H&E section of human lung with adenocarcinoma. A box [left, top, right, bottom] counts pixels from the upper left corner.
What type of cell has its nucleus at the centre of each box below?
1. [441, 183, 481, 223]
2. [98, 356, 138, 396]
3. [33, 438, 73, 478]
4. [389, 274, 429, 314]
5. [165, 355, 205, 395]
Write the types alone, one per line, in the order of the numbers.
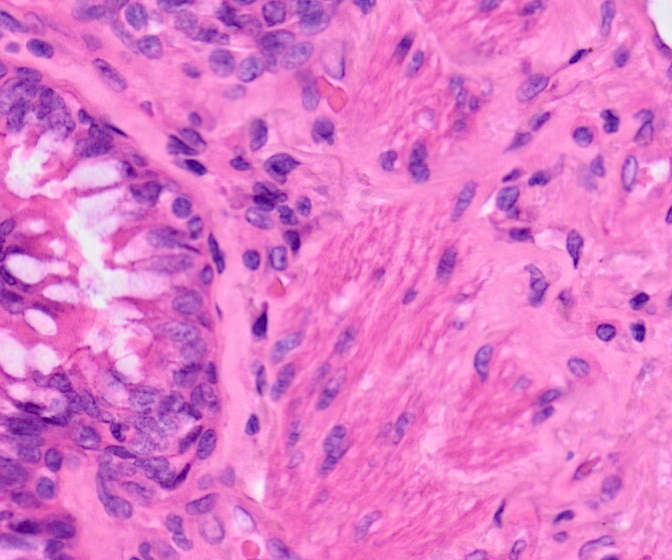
smooth muscle cell or pericyte
ciliated epithelial cell
ciliated epithelial cell
smooth muscle cell or pericyte
ciliated epithelial cell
